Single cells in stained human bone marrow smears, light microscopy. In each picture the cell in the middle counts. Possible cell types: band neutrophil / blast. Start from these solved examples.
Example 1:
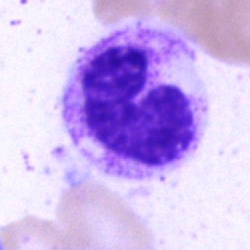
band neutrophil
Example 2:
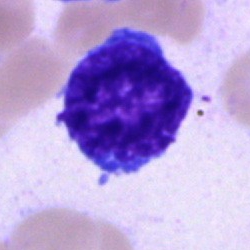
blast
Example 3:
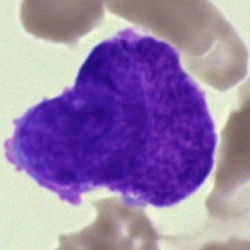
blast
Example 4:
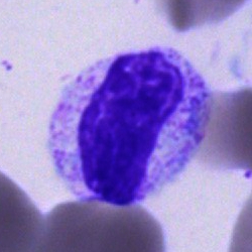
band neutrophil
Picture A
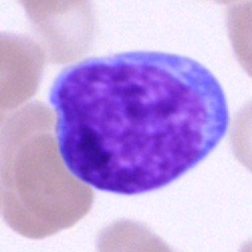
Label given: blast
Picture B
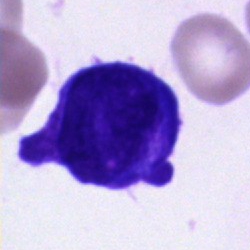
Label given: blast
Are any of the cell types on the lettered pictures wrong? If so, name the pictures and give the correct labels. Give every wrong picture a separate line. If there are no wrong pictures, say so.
Every label is right.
